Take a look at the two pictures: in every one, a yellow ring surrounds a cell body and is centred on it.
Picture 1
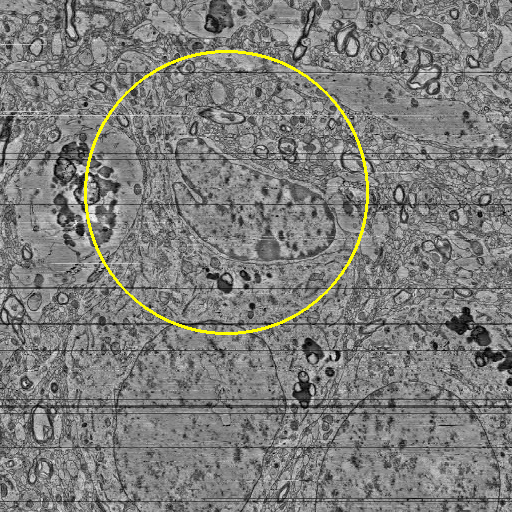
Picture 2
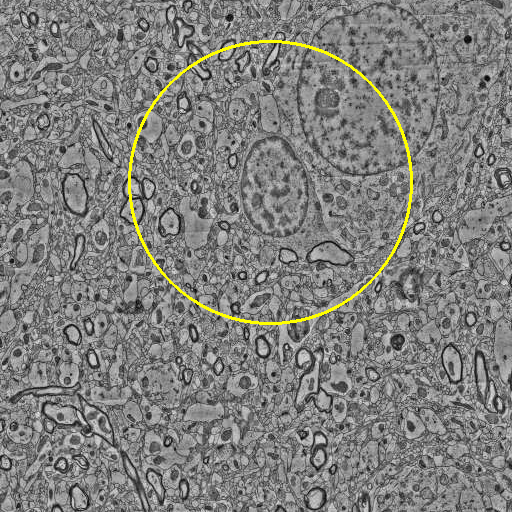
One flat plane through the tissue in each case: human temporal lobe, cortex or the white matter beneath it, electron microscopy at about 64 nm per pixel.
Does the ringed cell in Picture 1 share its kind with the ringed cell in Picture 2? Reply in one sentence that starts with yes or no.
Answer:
No, the two centred cells, one per picture, are of two kinds.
